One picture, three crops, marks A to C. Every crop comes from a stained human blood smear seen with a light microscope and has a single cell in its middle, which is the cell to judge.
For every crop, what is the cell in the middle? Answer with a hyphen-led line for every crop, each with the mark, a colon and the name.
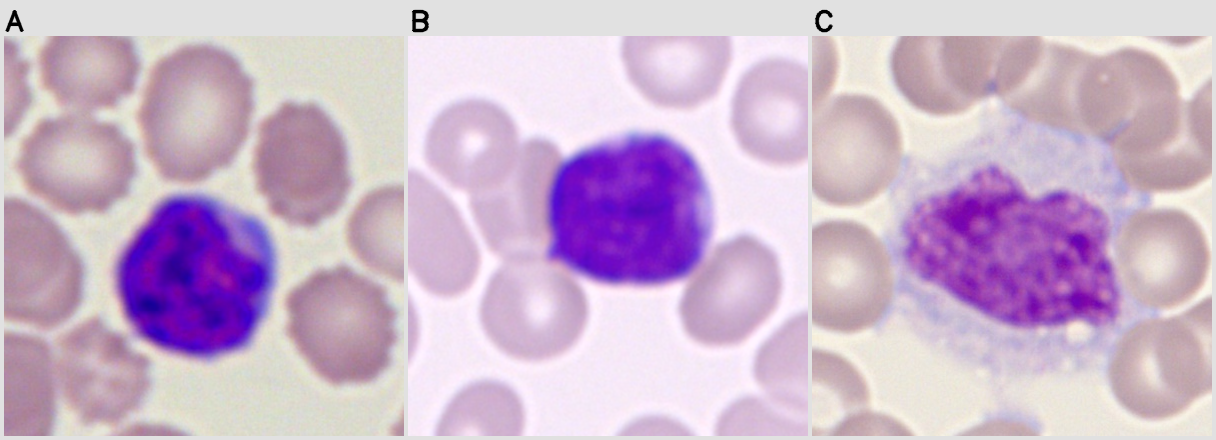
- A: lymphocyte
- B: myeloblast
- C: monocyte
